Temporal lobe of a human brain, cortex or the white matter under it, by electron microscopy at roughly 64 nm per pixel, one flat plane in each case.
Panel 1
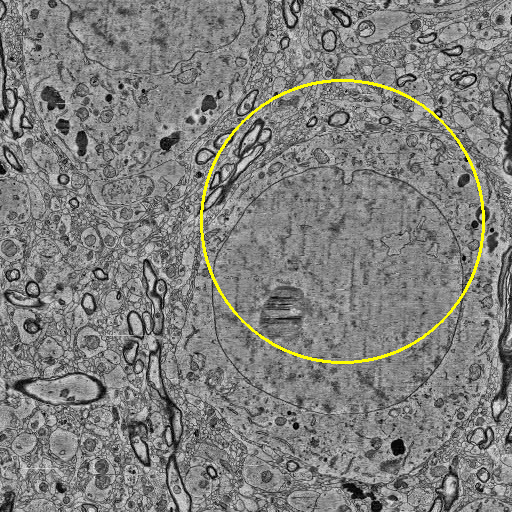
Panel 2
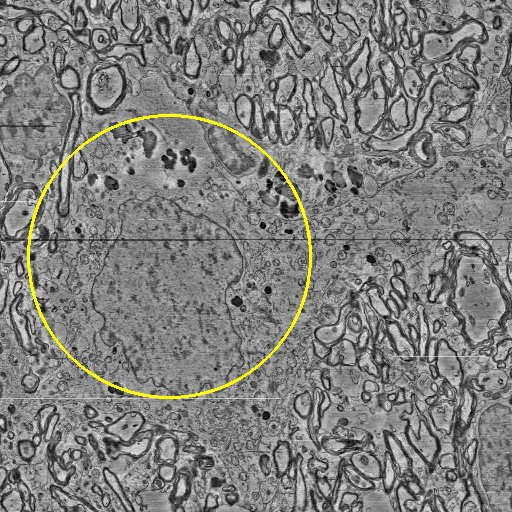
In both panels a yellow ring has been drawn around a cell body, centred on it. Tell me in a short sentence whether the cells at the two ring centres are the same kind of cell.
Yes, they are the same kind of cell.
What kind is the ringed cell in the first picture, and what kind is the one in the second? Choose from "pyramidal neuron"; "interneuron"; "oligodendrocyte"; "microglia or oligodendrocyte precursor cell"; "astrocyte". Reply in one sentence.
The cell at the ring centre is a pyramidal neuron in both pictures.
